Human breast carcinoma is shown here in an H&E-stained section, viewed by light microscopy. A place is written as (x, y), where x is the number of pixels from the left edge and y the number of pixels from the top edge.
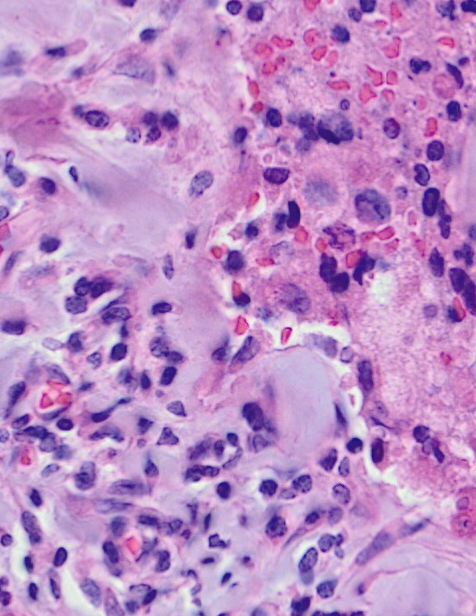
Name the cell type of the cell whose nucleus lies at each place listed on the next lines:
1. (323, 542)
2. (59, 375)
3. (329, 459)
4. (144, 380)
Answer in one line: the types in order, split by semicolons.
lymphocyte; endothelial cell; lymphocyte; lymphocyte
